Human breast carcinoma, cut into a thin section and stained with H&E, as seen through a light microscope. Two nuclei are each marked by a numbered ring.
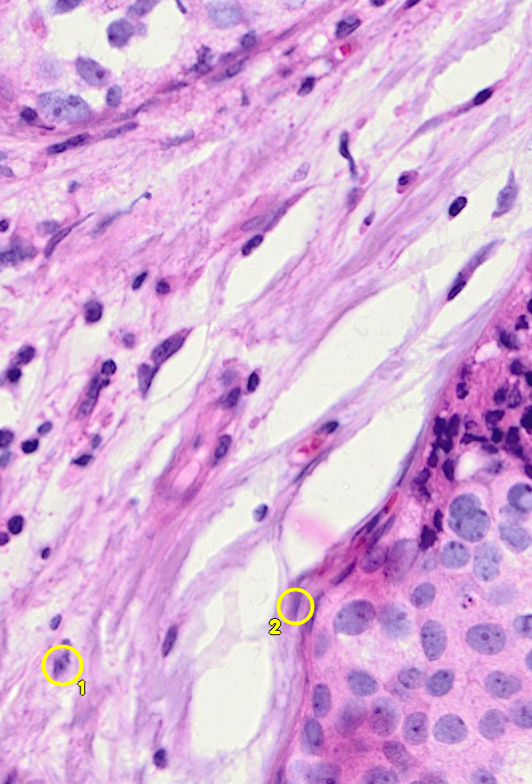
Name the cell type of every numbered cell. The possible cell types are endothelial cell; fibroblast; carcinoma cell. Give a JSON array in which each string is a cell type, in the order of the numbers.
["fibroblast", "endothelial cell"]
